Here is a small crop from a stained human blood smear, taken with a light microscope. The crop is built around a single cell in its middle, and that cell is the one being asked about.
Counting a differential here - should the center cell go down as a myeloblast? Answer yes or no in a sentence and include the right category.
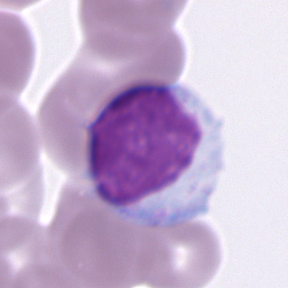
No, instead of a myeloblast, the centred cell represents a large granular lymphocyte.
